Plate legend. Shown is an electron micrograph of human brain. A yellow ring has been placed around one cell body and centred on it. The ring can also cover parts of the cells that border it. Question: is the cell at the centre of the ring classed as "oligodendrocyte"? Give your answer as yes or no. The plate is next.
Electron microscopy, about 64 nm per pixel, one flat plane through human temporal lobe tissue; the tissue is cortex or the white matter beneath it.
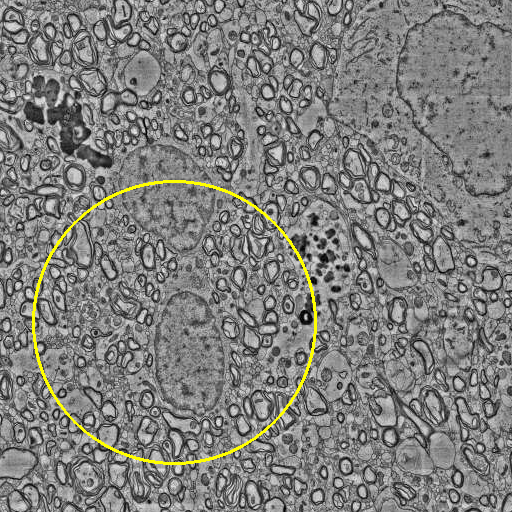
Yes, the ringed cell is of that kind.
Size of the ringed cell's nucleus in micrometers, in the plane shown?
Roughly 8 by 5 micrometres is the size of the nucleus in this plane.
